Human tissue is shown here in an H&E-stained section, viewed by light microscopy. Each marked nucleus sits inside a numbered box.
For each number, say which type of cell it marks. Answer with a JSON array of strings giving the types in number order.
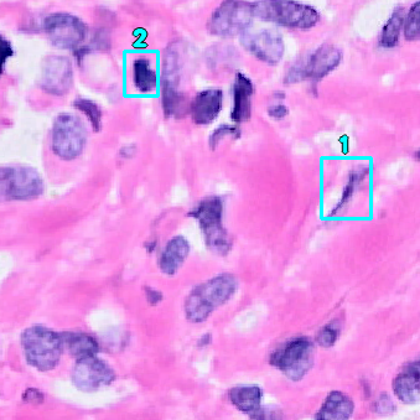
["fibroblast", "lymphocyte"]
